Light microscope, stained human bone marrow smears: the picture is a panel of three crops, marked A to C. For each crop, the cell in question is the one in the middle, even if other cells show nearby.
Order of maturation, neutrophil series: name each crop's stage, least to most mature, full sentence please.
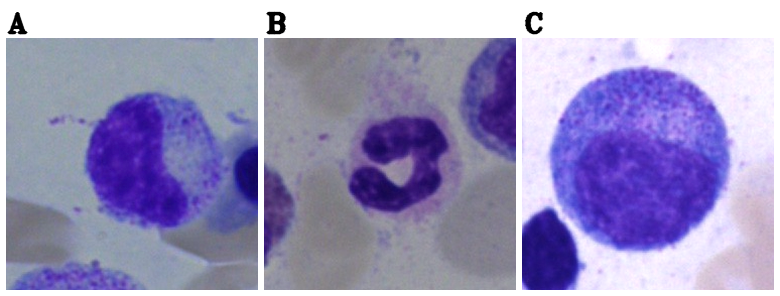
In order of increasing maturity, the crops run crop C (a promyelocyte), crop A (a metamyelocyte) and crop B (a segmented neutrophil).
